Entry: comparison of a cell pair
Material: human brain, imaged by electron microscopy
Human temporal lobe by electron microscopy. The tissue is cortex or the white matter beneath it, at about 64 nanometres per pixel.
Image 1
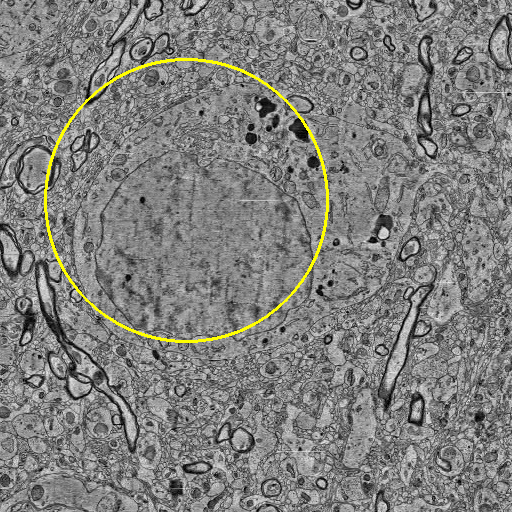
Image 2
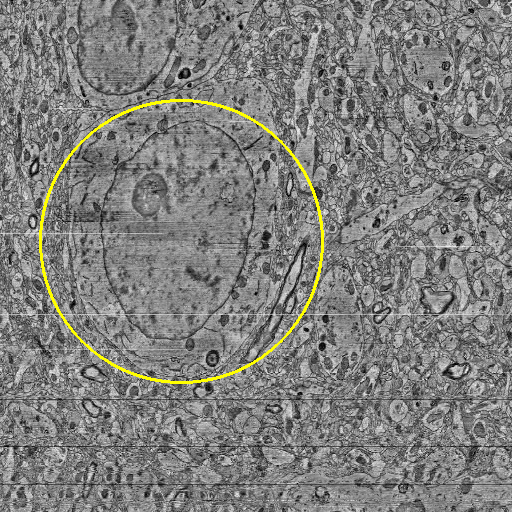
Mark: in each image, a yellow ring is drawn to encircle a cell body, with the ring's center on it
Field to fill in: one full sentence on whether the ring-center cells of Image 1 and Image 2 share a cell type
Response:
Yes, Image 1 and Image 2 each show a ring-center cell of one shared type.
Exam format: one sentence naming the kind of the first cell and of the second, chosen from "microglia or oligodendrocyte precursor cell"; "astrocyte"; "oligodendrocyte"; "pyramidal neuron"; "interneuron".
In each of the two pictures, the ringed cell is a pyramidal neuron.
